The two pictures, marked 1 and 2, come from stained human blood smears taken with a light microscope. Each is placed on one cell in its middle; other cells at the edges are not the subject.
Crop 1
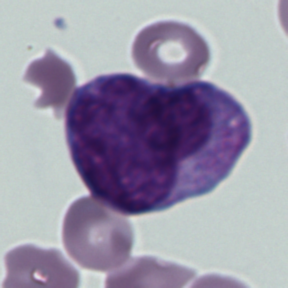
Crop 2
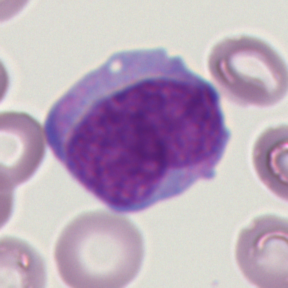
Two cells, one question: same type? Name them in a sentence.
Yes, atypical promyelocytes are the central cells in the two crops.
